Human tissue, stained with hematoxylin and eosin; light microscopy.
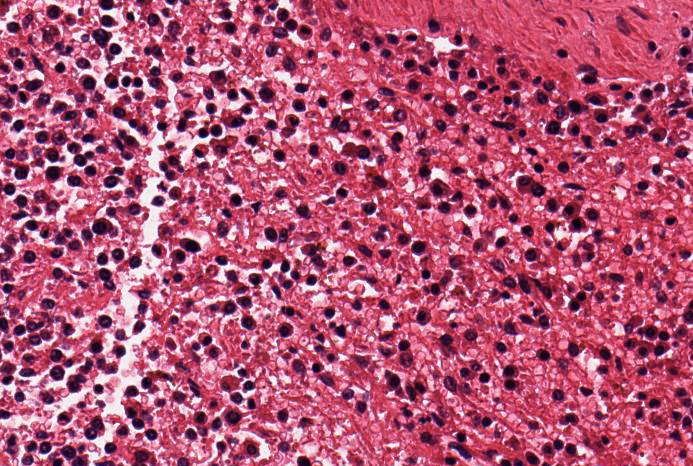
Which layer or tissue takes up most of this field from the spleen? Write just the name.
red pulp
